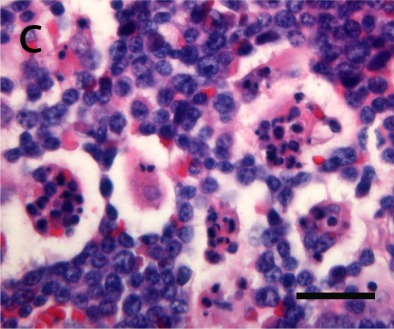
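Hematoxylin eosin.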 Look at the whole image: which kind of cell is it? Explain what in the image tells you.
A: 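Large cells with pale pink cytoplasm surrounded by clear halos. They contain several small dark round nuclear fragments.
Answer: macrophages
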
